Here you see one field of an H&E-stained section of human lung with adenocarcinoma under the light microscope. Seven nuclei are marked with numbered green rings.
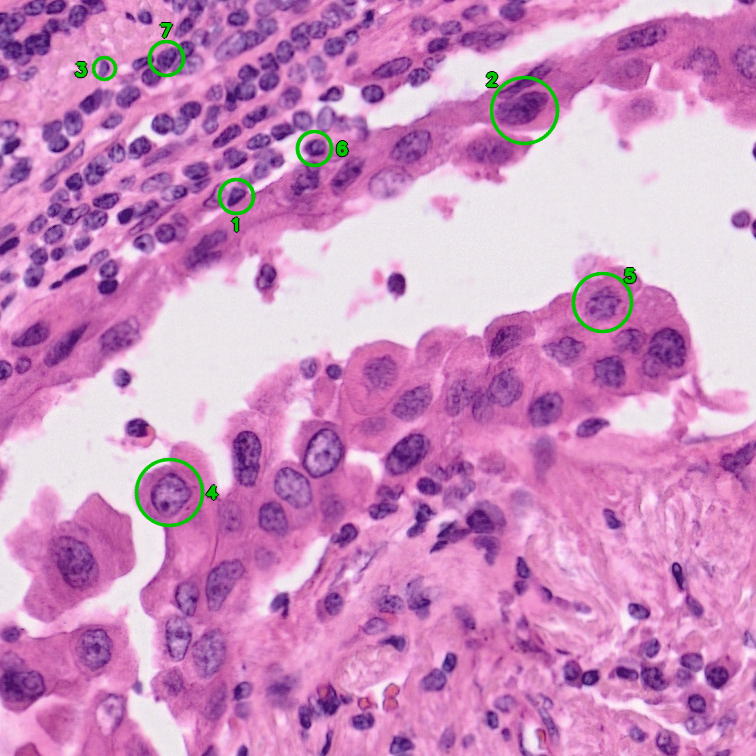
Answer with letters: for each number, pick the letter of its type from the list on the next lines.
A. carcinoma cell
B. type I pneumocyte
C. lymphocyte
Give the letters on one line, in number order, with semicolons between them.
C; A; C; A; A; C; C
